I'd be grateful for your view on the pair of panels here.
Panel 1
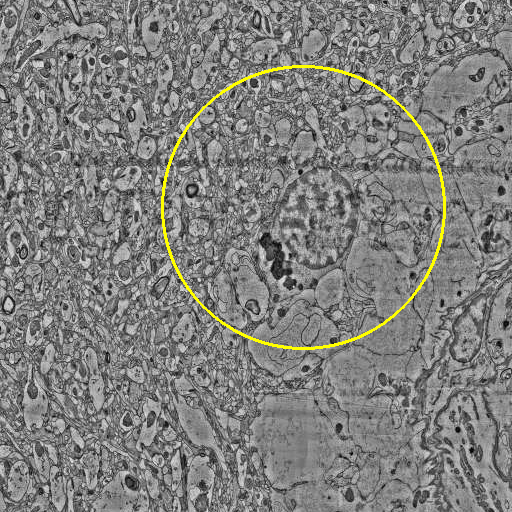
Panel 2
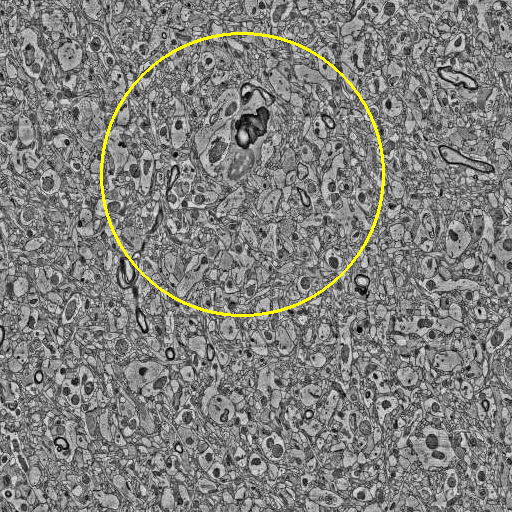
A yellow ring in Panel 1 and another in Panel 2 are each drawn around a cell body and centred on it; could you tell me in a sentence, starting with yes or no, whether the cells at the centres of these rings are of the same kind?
Yes, they are the same kind of cell.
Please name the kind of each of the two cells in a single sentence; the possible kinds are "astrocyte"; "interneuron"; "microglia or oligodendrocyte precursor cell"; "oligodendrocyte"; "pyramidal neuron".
Both rings mark an oligodendrocyte, one in each picture.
